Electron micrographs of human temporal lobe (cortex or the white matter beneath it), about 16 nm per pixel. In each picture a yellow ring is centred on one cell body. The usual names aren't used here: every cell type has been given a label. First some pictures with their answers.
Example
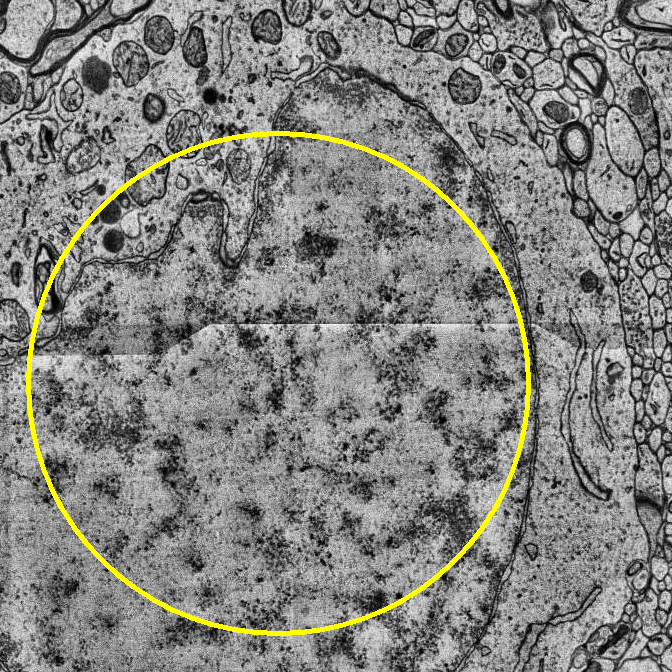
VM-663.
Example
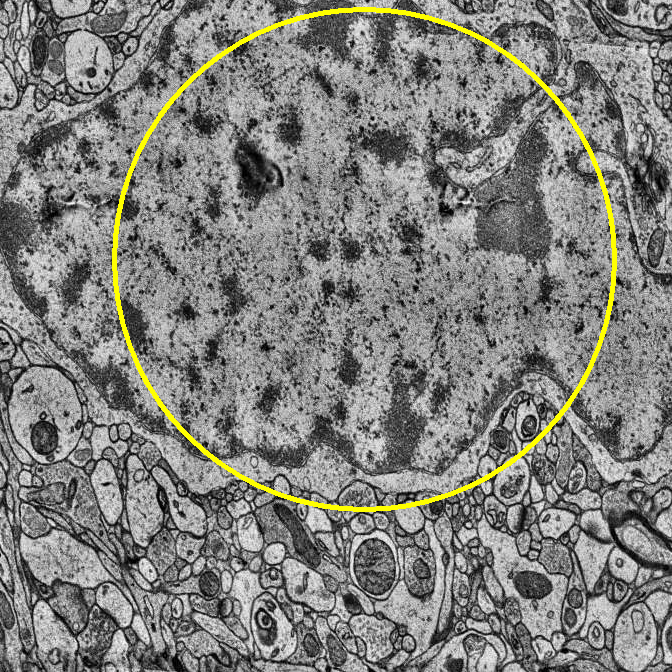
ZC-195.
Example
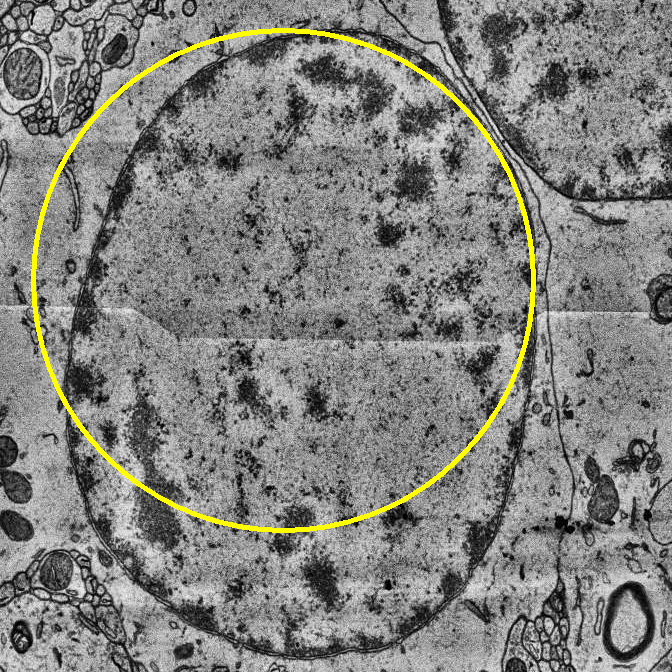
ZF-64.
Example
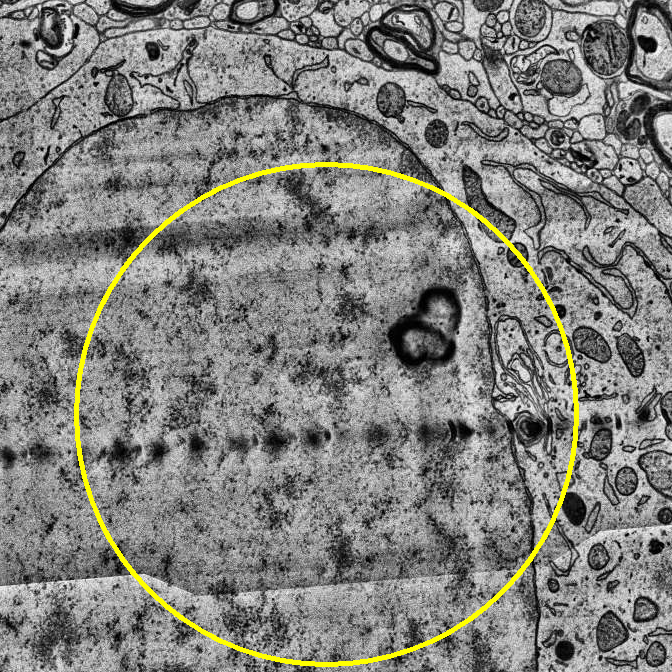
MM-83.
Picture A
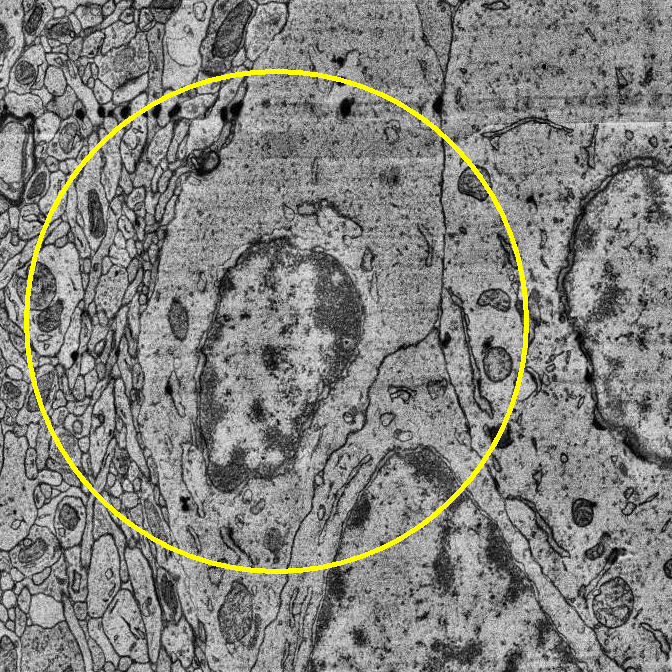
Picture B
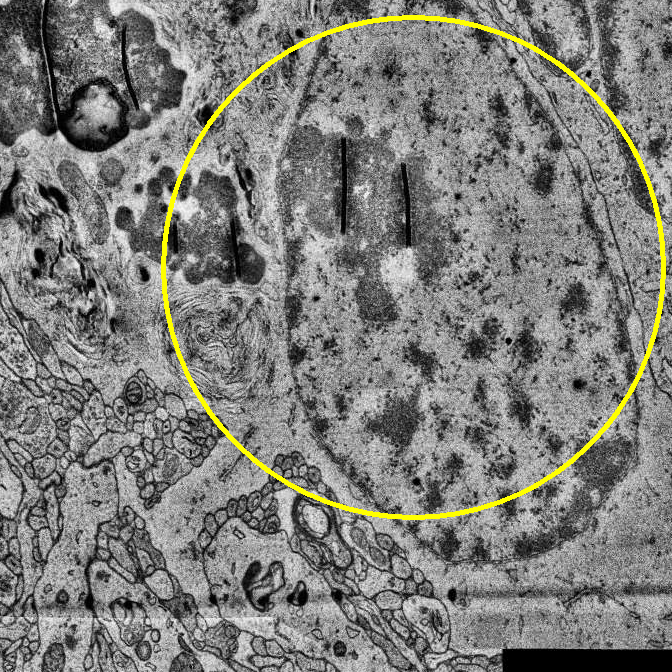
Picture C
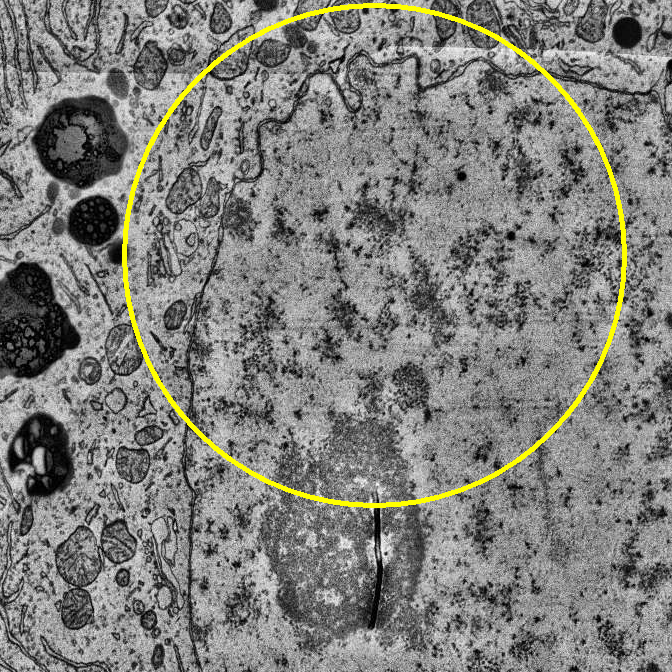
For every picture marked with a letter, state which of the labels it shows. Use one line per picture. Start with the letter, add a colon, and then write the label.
A: ZC-195.
B: ZF-64.
C: VM-663.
